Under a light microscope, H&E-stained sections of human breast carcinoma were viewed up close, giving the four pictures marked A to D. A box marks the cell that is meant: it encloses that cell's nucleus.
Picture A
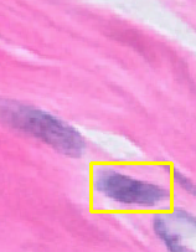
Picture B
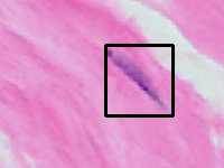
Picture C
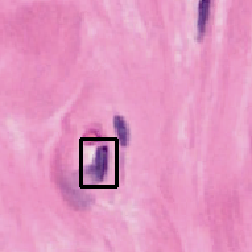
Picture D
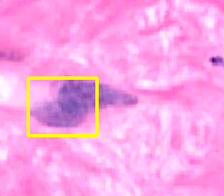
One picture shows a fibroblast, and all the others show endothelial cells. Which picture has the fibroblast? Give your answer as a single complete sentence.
Picture B is the one that shows the fibroblast.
